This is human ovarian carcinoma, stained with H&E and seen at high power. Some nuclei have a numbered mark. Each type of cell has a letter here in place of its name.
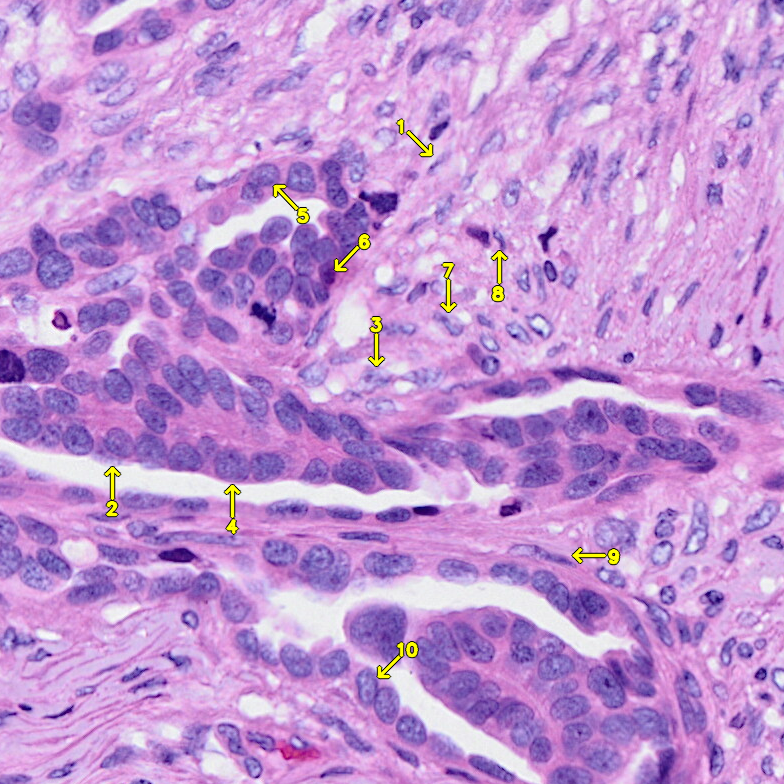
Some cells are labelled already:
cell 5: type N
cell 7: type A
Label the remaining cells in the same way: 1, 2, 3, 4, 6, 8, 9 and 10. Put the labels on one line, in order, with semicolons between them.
type A; type N; type A; type N; type N; type A; type A; type N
